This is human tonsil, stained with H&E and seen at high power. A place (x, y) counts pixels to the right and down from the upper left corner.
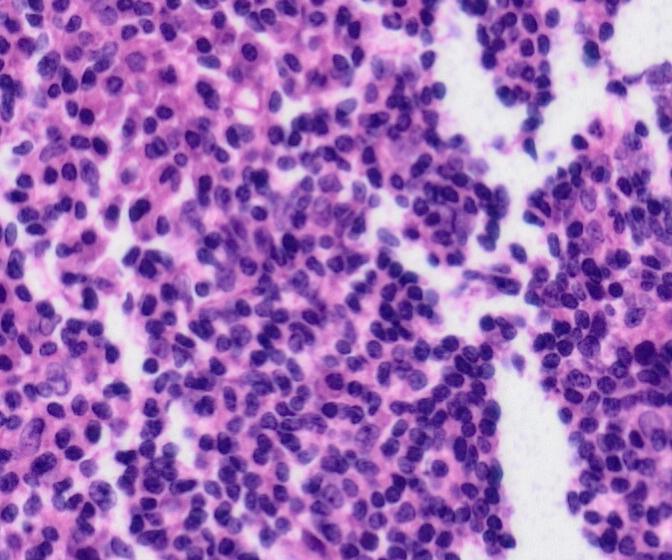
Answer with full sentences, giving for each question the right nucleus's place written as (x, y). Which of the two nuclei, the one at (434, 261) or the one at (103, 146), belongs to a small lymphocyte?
The nucleus whose position is (434, 261) belongs to a small lymphocyte.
